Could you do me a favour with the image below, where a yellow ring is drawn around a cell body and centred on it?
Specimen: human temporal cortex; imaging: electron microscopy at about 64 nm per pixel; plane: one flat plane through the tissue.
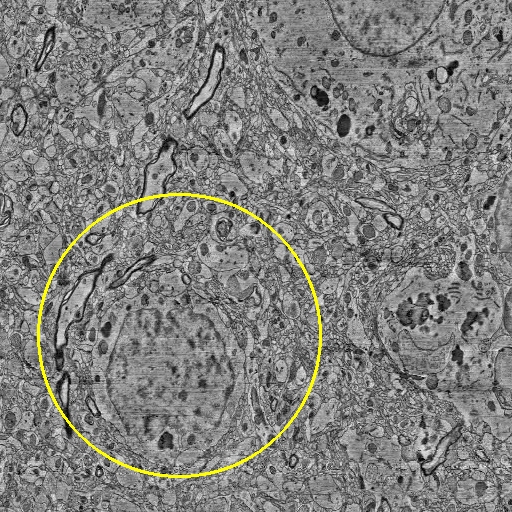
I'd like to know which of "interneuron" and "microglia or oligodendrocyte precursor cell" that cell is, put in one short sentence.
The cell at the ring's centre is an interneuron.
